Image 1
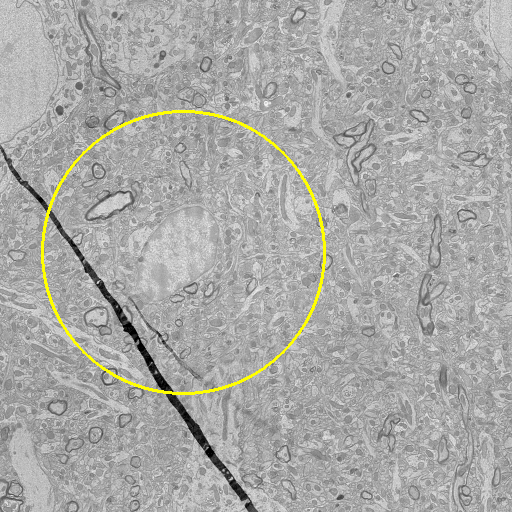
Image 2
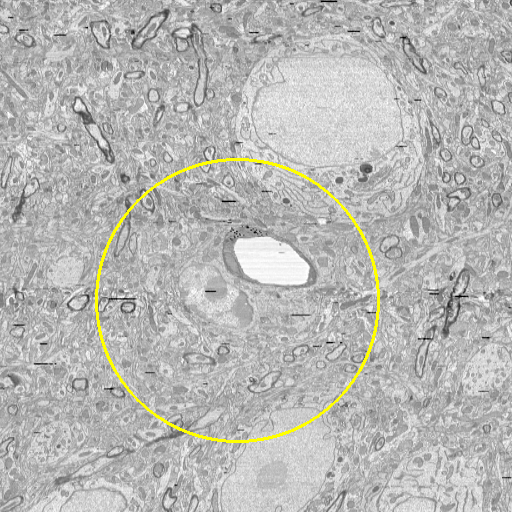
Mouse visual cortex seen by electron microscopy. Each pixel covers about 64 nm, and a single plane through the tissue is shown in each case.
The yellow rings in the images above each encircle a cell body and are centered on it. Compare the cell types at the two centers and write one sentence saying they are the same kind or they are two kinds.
Taken together, the two cells at the ring centers are the same kind.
